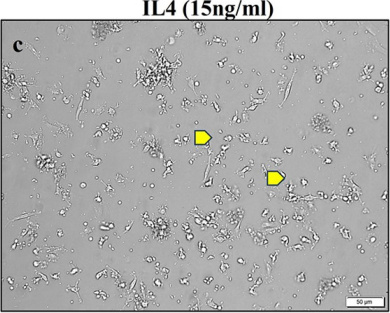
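Numerous cells are elongated or spindle-shaped with drawn-out ends, while others are rounded. Most cells lie singly or in small loose groups across the surface. A small cluster of rounded cells is present near the top of the field.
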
